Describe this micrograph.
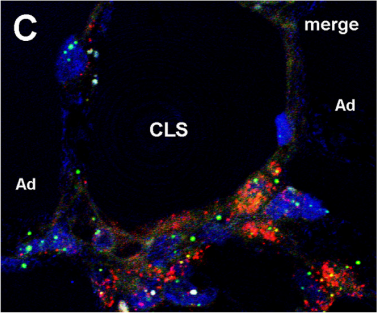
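Macrophages in adipose tissue crowd along the rim of a large round empty space, between the empty profiles of neighbouring fat cells. Their cell bodies hold coarse red granular clumps, concentrated at the lower part of the rim. Blue nuclei lie within these cell bodies. Bright green dots are scattered along the rim, some overlapping the red clumps and appearing yellow or white. The thin septa elsewhere contain few cells.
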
